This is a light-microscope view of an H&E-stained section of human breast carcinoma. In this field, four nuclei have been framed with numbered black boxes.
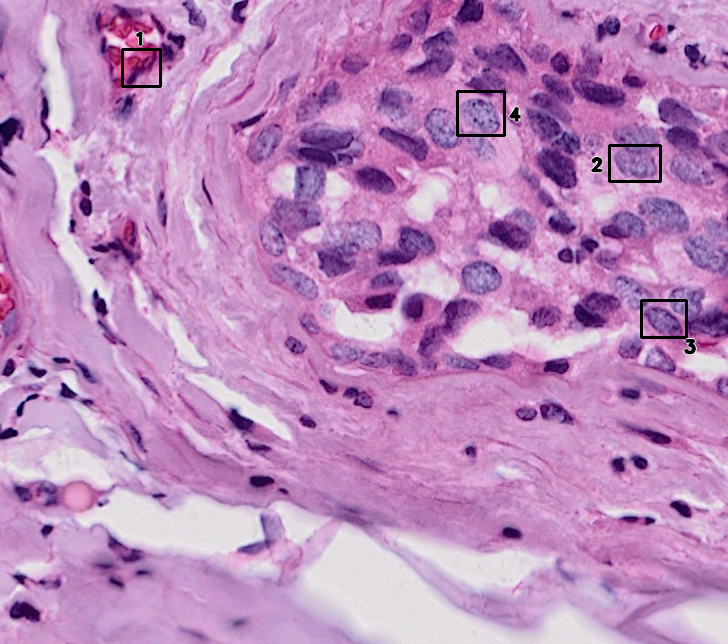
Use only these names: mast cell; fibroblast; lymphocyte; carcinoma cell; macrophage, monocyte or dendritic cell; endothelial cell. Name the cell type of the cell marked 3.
carcinoma cell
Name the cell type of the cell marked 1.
endothelial cell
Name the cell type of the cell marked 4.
carcinoma cell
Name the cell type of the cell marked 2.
carcinoma cell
